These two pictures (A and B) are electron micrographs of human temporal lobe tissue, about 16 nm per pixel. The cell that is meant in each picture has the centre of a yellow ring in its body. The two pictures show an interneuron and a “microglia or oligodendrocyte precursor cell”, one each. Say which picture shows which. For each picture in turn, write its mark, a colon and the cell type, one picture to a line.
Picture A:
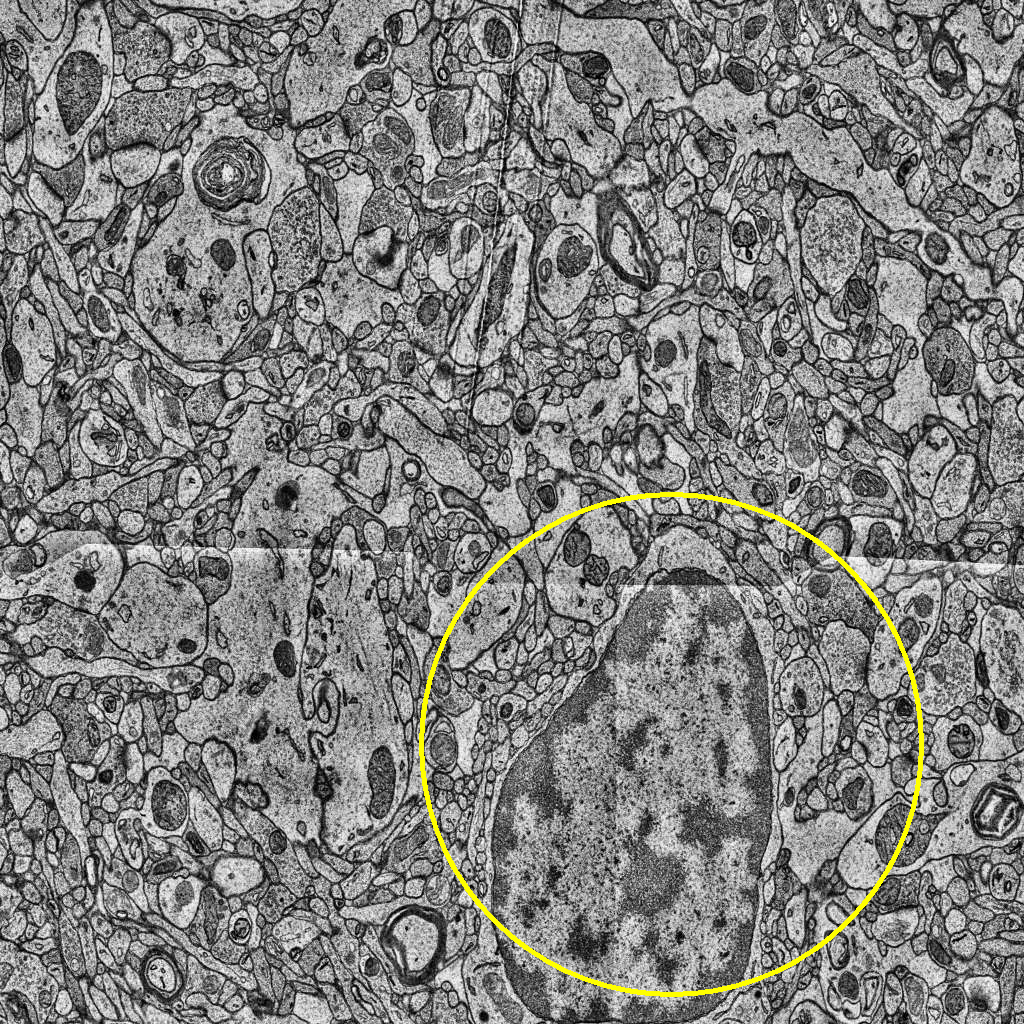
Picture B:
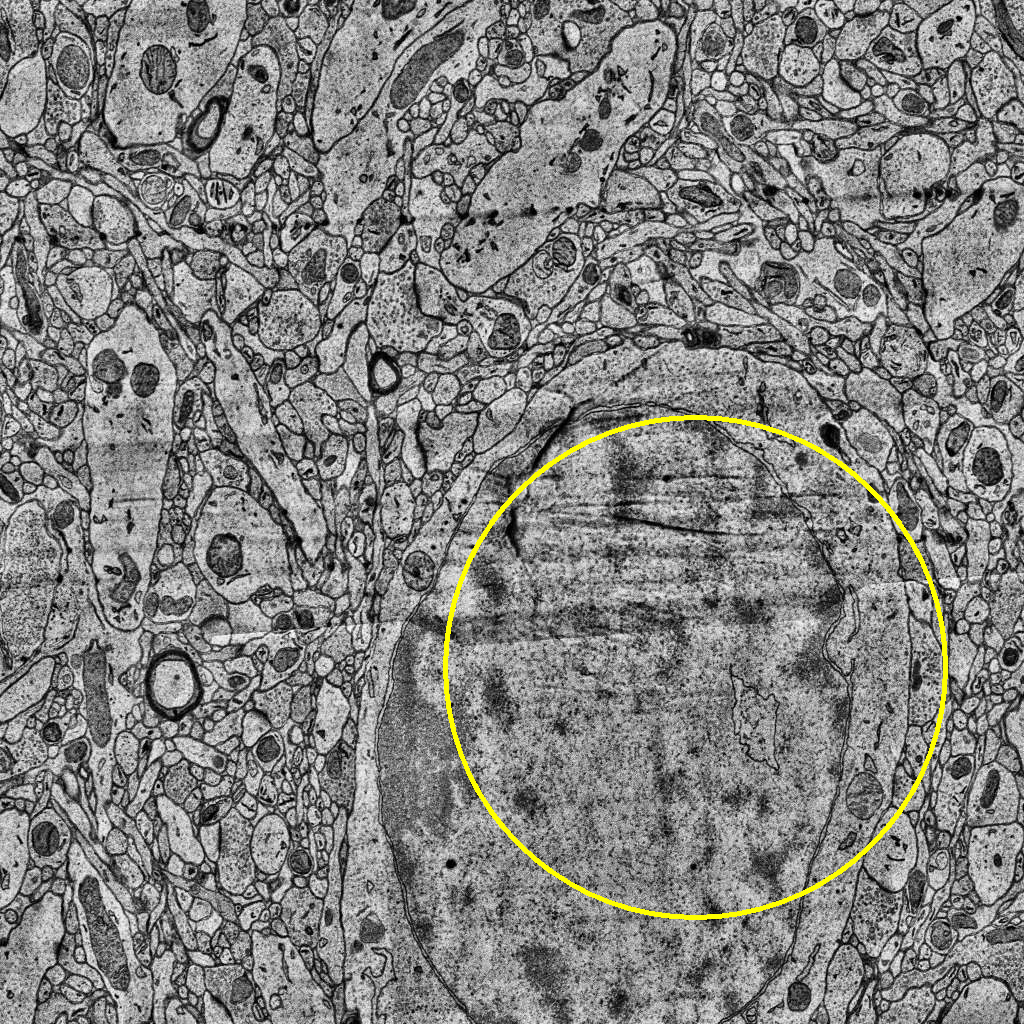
A: microglia or oligodendrocyte precursor cell
B: interneuron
